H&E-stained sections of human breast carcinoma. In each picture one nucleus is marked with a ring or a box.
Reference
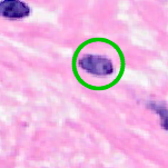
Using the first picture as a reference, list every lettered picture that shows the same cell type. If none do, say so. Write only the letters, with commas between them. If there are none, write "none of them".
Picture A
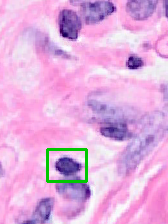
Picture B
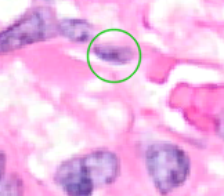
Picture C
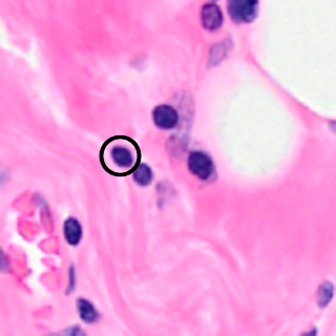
A, C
